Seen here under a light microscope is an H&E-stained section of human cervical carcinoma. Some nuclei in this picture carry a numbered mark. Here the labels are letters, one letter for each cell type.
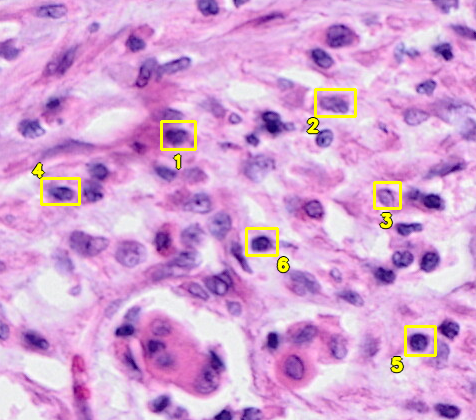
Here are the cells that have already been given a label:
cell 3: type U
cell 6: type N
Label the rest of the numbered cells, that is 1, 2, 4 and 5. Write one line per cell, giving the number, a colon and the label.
1: type N
2: type U
4: type N
5: type N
